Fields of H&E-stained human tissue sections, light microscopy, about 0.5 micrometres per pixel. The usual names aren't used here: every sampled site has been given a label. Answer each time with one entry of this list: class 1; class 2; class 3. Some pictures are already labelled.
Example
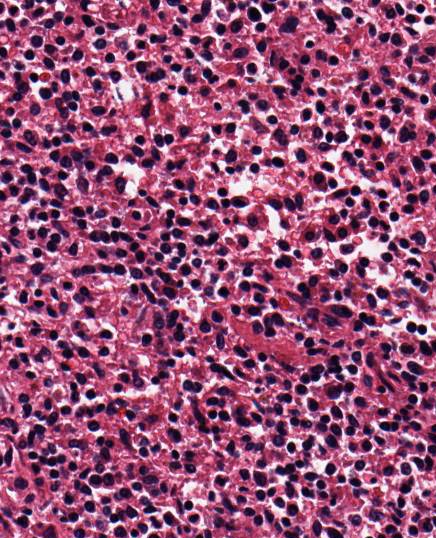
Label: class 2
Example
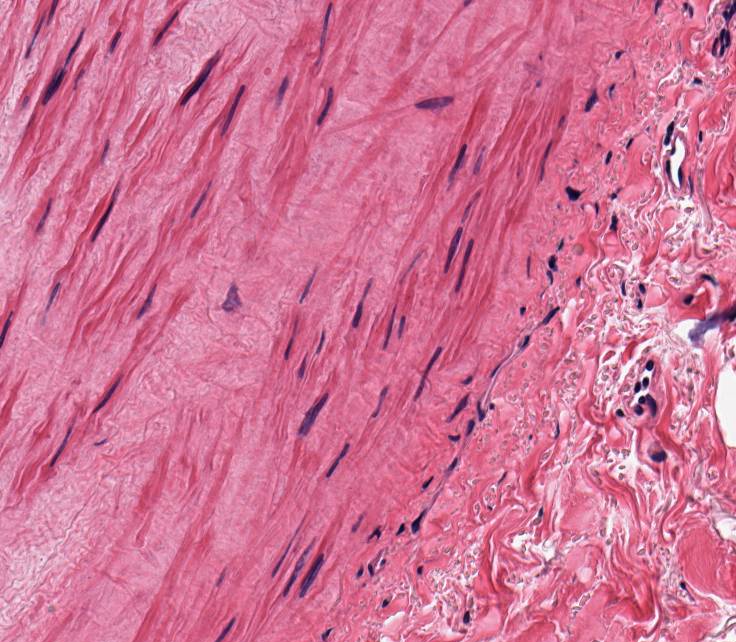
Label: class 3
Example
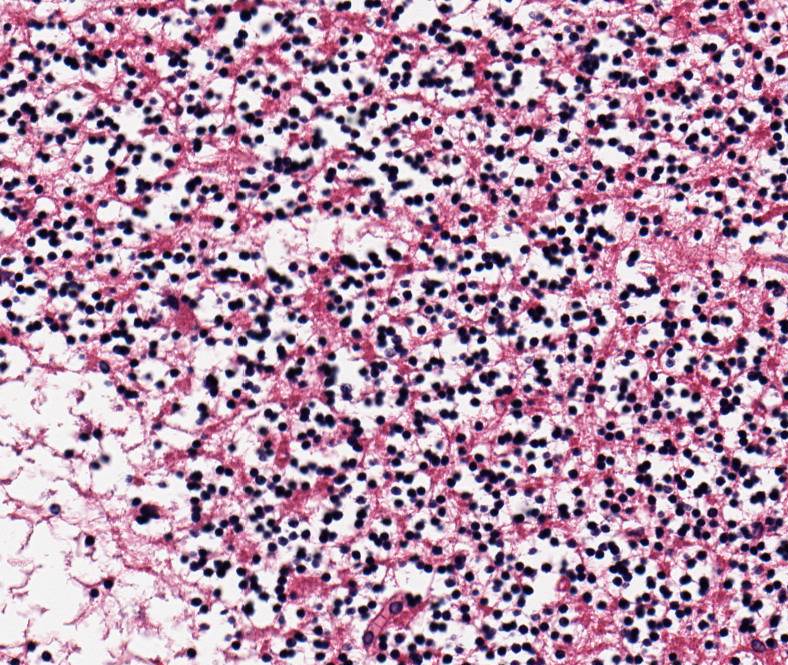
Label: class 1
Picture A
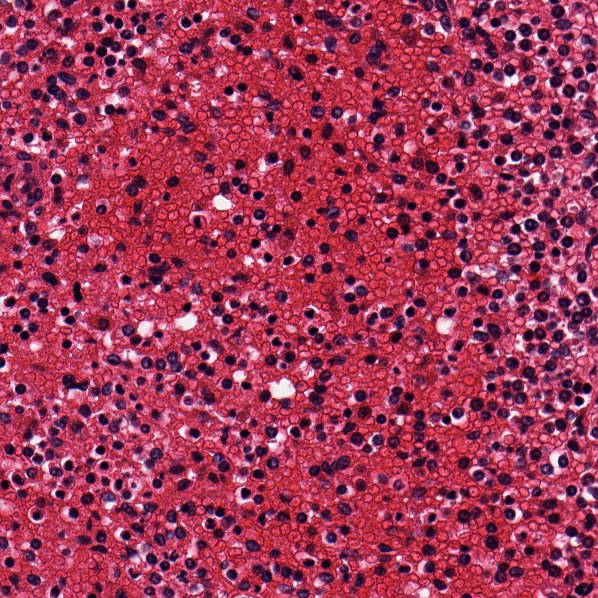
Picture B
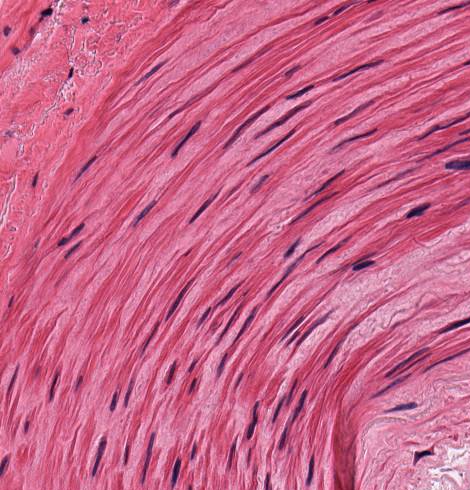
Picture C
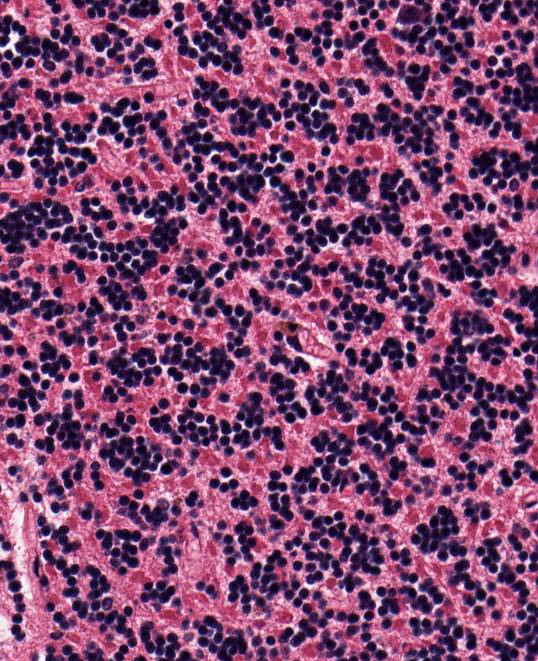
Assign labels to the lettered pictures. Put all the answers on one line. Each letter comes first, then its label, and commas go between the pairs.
A class 2, B class 3, C class 1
